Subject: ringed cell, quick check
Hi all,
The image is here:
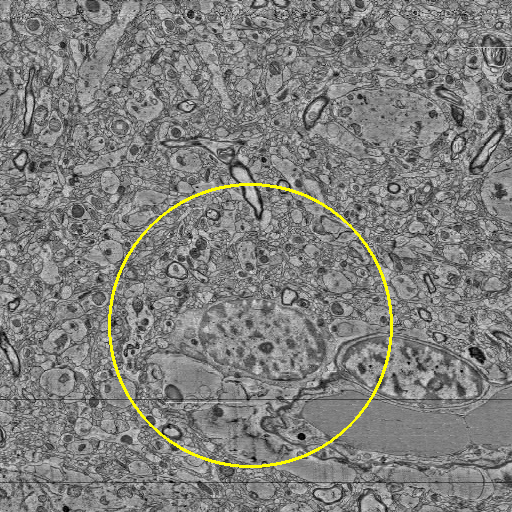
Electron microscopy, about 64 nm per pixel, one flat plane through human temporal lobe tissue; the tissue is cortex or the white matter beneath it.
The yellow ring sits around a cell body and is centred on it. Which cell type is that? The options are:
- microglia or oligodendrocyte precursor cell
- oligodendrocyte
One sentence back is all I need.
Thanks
That ringed cell is an oligodendrocyte.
